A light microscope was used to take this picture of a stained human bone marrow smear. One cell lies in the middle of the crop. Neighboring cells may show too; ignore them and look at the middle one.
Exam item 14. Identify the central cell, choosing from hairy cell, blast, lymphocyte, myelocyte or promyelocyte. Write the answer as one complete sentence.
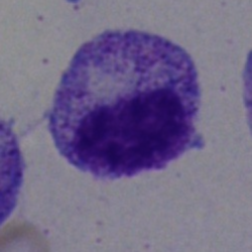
The middle of this crop is occupied by a myelocyte.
